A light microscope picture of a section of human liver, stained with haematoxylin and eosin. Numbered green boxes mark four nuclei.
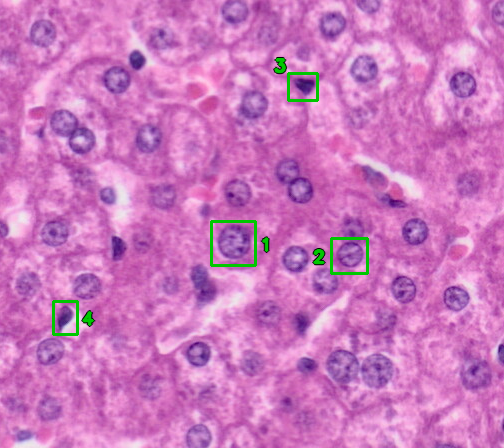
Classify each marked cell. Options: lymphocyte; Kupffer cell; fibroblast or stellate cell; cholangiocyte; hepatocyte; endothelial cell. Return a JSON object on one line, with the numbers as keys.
{"1": "hepatocyte", "2": "hepatocyte", "3": "fibroblast or stellate cell", "4": "endothelial cell"}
